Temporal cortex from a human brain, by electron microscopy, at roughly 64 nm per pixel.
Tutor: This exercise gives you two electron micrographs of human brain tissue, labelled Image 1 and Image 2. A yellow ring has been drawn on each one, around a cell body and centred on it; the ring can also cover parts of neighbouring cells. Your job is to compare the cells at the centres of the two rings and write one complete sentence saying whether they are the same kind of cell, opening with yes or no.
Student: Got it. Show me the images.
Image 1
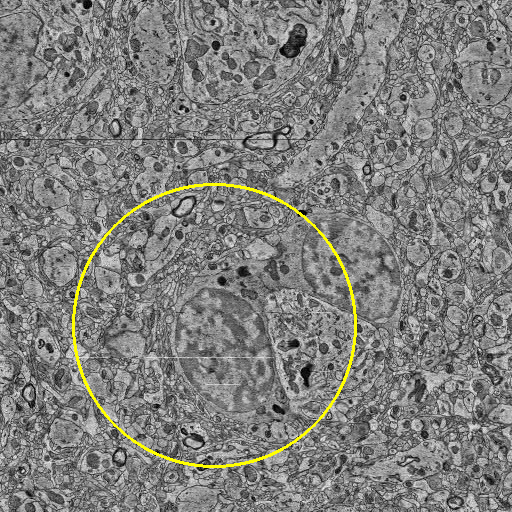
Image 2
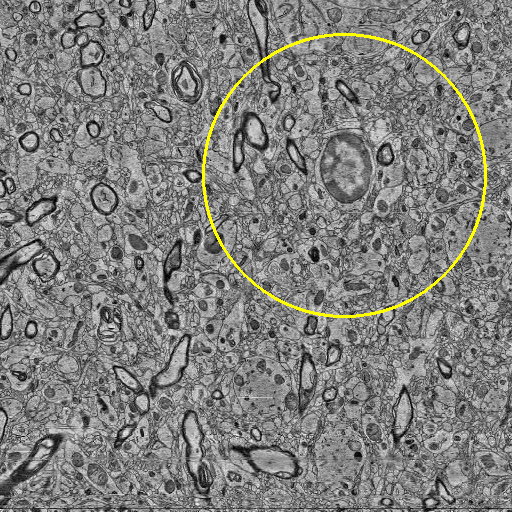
No, the two cells belong to two kinds.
